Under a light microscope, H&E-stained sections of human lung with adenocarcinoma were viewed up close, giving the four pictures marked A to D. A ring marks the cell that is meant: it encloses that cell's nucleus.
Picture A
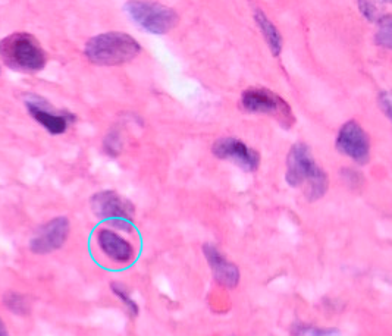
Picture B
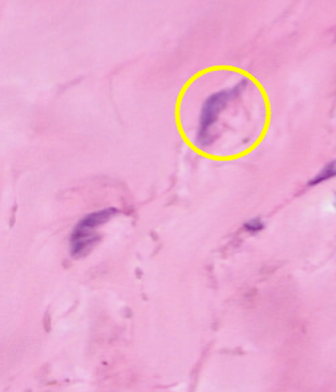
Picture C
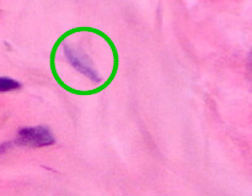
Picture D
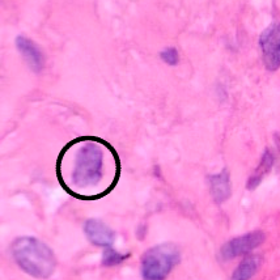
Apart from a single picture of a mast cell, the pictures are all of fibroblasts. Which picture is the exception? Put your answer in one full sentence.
The cell in picture A is the mast cell.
